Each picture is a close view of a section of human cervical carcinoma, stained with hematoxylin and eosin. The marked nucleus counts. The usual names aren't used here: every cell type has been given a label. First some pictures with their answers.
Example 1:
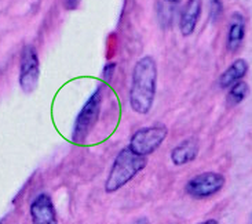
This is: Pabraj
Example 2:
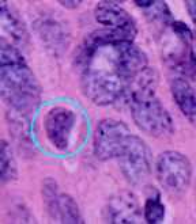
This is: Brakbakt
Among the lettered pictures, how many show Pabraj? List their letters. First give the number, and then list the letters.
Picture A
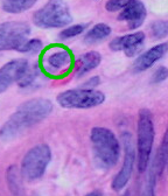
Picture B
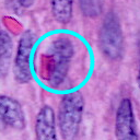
Count: 2 (A, B)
